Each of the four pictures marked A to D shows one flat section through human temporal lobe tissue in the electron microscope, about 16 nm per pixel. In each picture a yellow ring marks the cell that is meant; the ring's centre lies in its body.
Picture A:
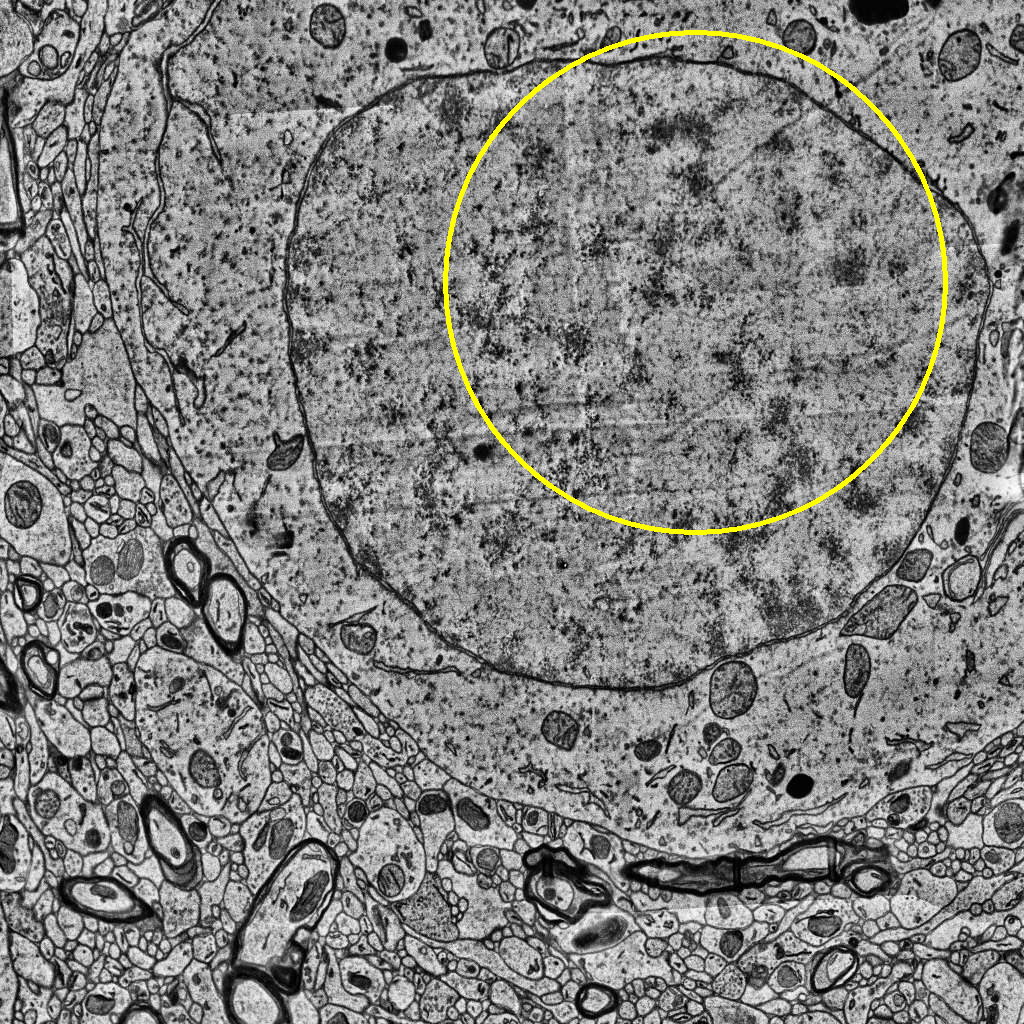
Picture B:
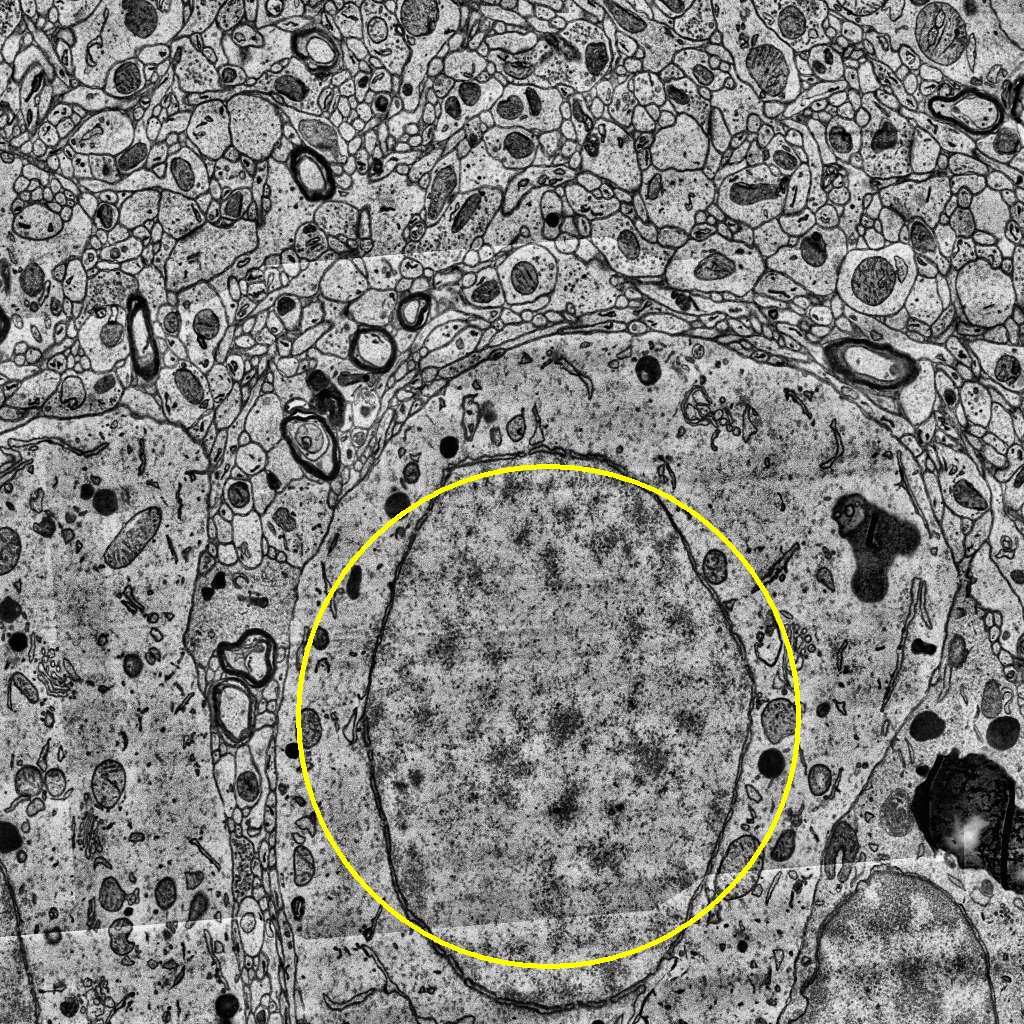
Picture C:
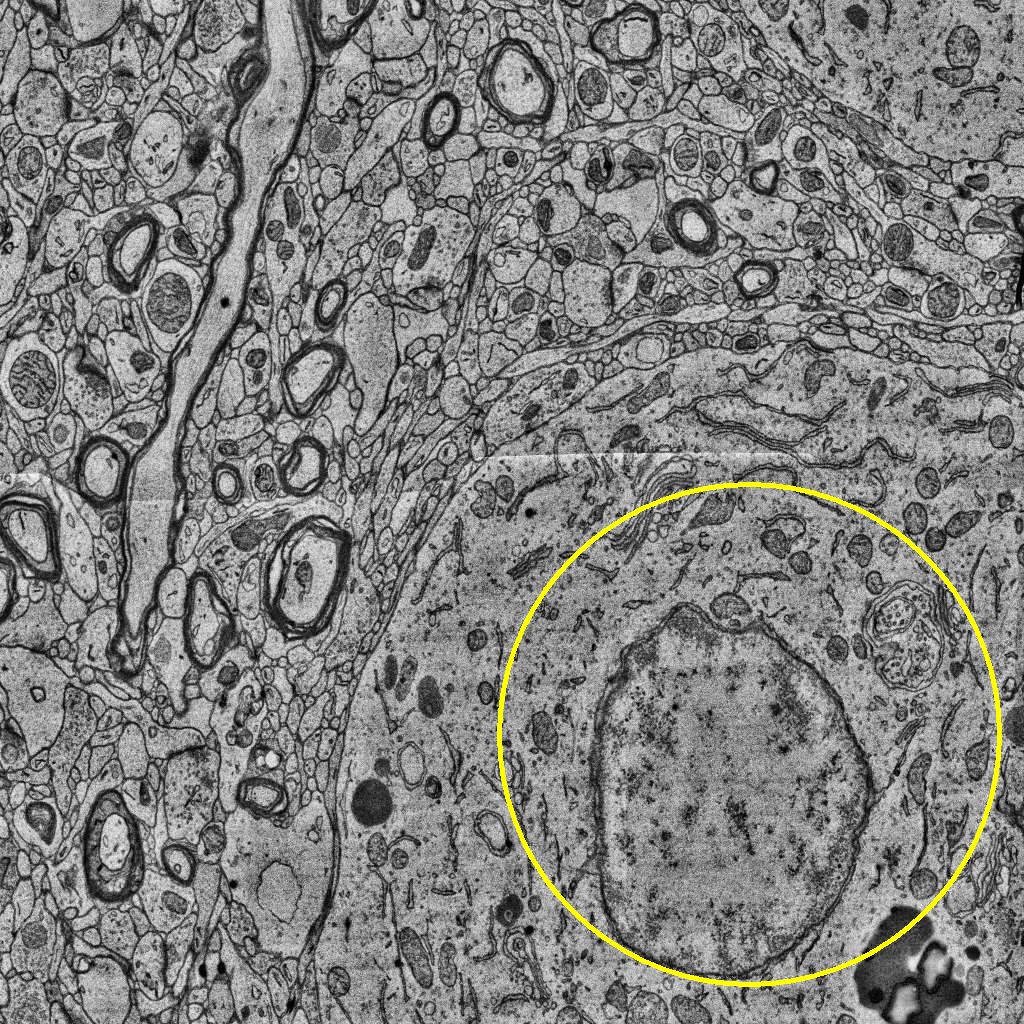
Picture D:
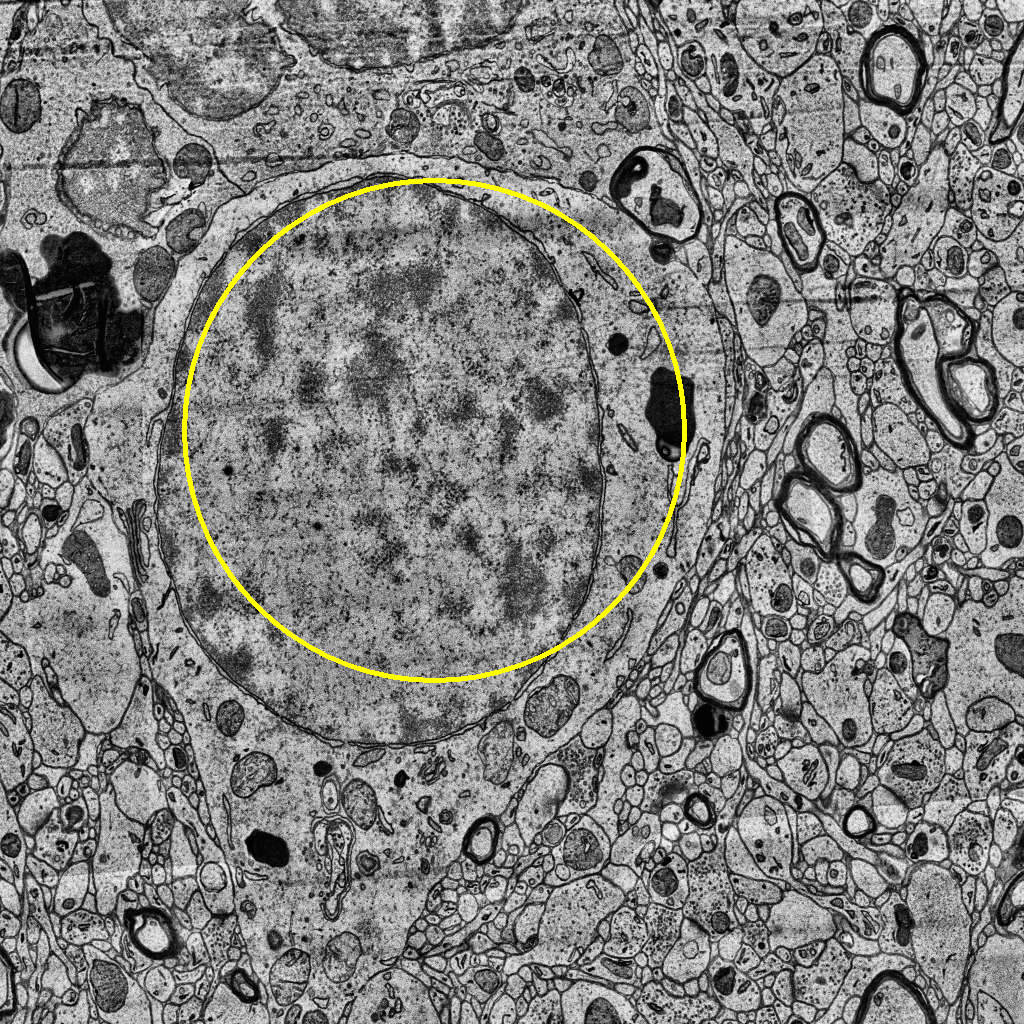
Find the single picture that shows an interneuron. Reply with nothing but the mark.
D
